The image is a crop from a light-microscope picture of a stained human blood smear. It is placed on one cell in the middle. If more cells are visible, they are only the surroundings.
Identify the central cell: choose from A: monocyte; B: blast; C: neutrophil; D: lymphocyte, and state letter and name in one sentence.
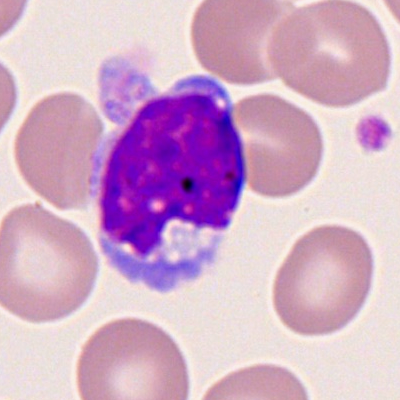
Option A is correct in naming the middle cell a monocyte.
